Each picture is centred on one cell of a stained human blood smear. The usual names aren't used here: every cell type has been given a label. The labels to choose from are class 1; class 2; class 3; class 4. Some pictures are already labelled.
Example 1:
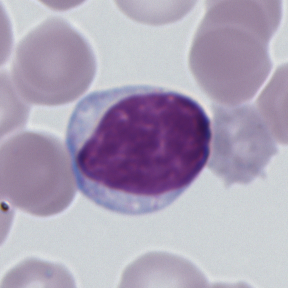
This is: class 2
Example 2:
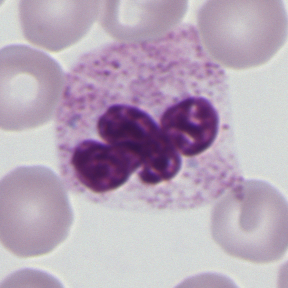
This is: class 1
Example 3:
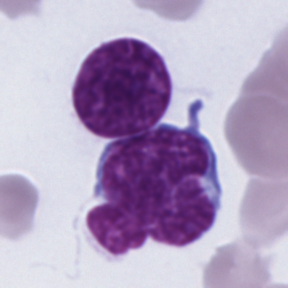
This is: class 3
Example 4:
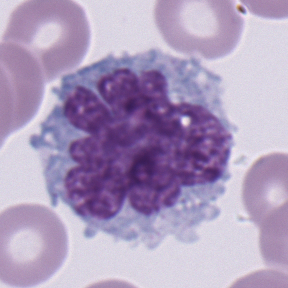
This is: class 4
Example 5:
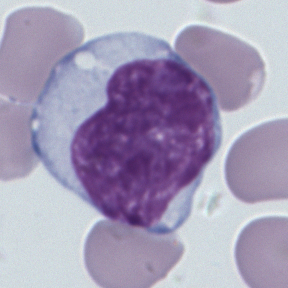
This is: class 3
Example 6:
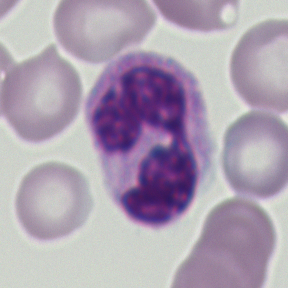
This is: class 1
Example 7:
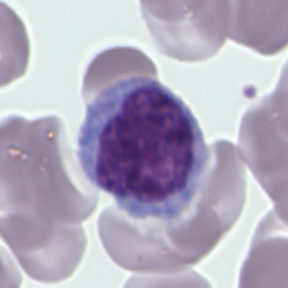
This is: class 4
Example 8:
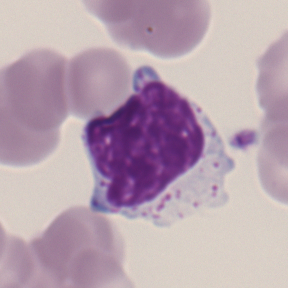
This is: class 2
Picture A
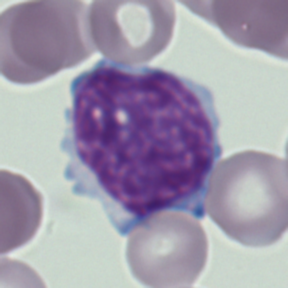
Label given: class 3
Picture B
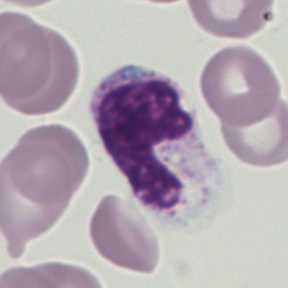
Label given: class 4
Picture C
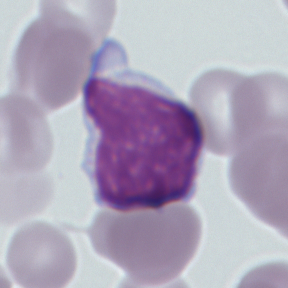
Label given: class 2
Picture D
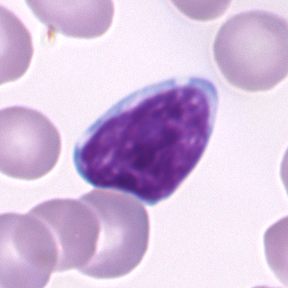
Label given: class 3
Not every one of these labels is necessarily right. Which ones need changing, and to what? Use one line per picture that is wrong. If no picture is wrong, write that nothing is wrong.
B is labelled class 4; correct label: class 1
